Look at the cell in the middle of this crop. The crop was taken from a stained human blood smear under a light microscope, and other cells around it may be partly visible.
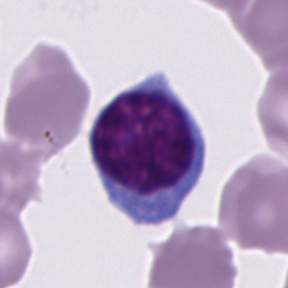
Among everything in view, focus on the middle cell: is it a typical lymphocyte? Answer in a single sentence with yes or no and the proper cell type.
Yes, what sits in the middle of the crop is a typical lymphocyte.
